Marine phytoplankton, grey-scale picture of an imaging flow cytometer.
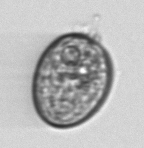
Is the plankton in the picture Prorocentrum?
Yes, it is Prorocentrum.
